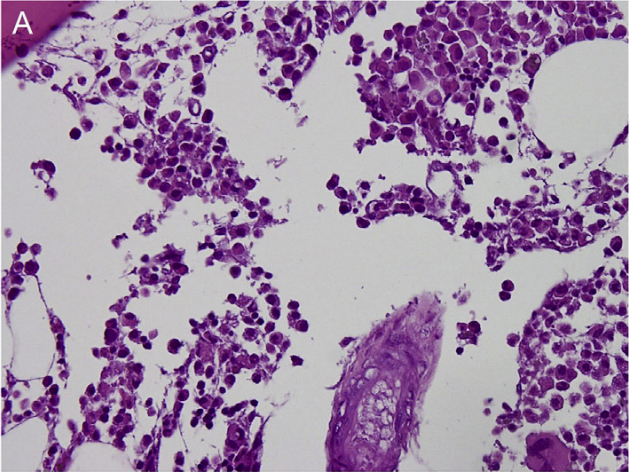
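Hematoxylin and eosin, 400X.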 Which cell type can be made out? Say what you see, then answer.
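Atypical plasma cells. Dense aggregates of round to oval cells fill the spaces between fat vacuoles. Cells have round, dark nuclei and a fair amount of cytoplasm. Cells vary somewhat in size and shape.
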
